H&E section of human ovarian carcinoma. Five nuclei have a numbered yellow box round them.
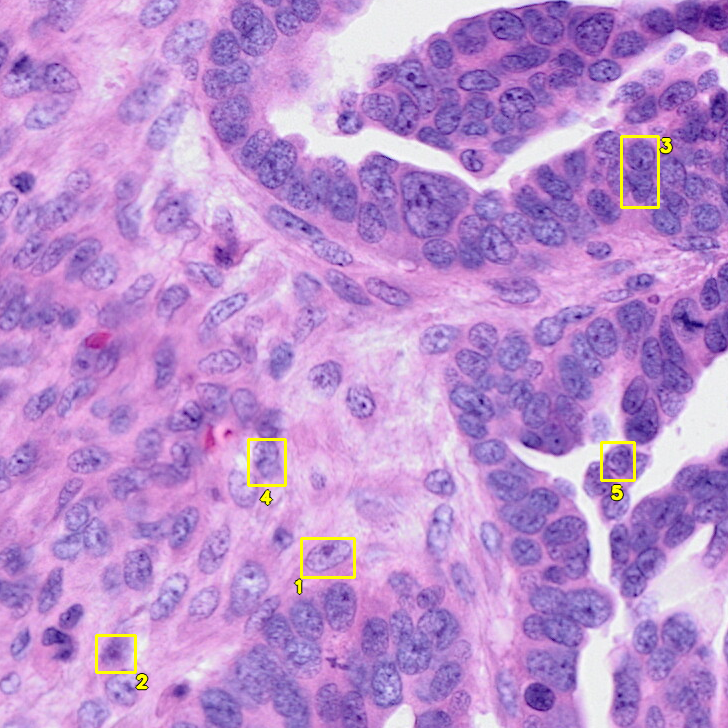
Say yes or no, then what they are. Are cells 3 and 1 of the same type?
No, cell 3 here is a carcinoma cell and cell 1 here is a fibroblast.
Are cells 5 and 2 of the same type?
No, cell 5 is a carcinoma cell, and cell 2, for its part, is a fibroblast.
